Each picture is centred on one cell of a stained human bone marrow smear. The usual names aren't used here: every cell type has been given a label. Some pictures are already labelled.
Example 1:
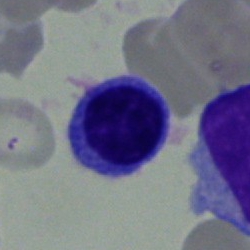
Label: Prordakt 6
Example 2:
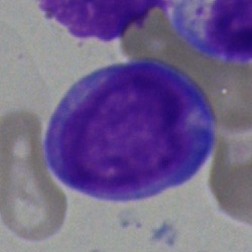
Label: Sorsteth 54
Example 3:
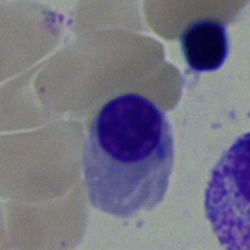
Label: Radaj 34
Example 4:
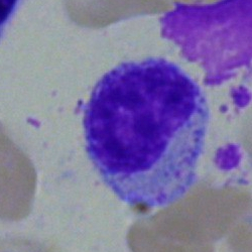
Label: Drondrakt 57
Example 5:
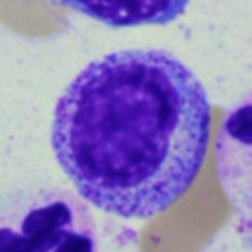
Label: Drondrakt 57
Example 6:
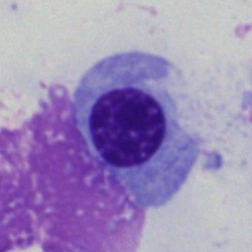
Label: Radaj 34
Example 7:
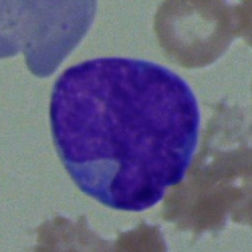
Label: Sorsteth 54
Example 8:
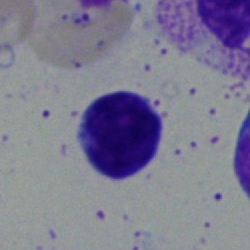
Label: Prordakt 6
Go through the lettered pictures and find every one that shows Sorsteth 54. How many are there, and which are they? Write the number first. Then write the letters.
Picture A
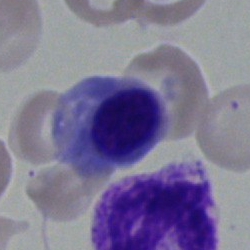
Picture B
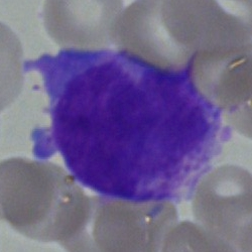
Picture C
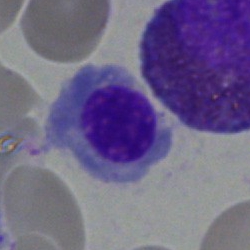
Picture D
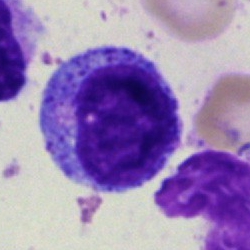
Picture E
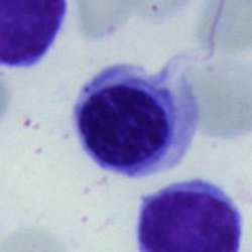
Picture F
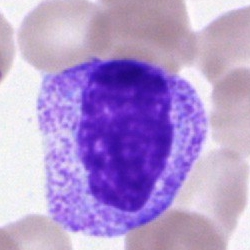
1, namely B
